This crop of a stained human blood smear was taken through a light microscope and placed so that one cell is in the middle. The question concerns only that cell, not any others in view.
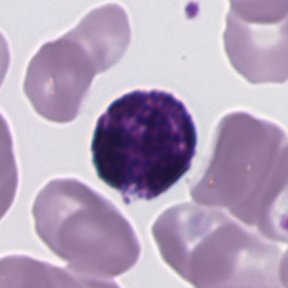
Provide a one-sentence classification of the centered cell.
On this slide crop, the central cell is a basophil.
